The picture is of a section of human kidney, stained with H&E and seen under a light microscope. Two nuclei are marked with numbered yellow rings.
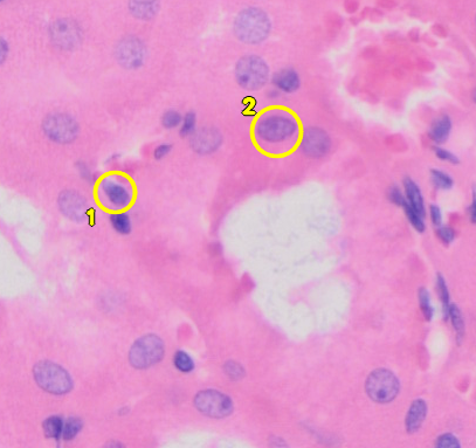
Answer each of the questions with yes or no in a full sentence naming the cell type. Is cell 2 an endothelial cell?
No, the cell given number 2 is a proximal tubule cell, not an endothelial cell.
